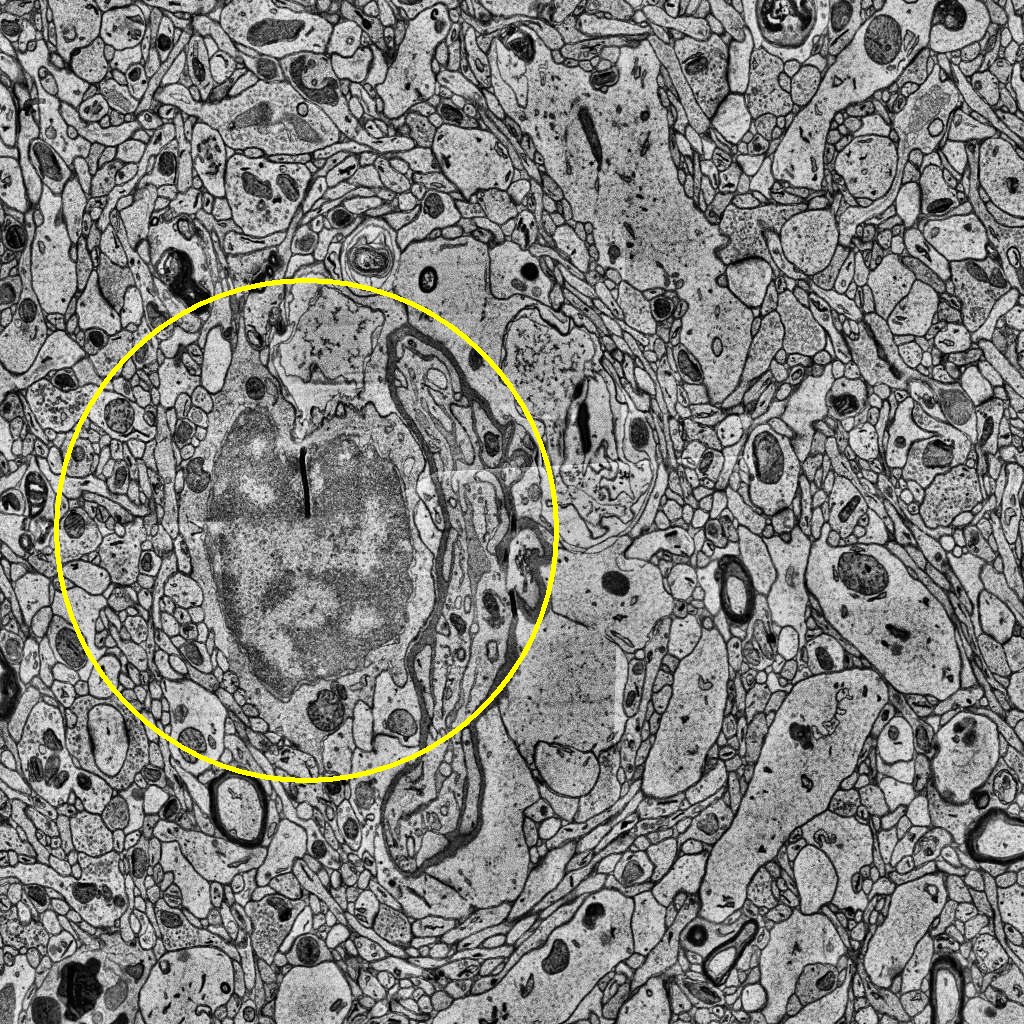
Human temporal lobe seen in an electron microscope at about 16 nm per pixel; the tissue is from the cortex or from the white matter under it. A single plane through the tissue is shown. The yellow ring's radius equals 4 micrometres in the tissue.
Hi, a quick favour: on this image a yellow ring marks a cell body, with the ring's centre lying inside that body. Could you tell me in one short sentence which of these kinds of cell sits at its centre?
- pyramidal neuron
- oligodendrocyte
The ring's centre lies in an oligodendrocyte.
